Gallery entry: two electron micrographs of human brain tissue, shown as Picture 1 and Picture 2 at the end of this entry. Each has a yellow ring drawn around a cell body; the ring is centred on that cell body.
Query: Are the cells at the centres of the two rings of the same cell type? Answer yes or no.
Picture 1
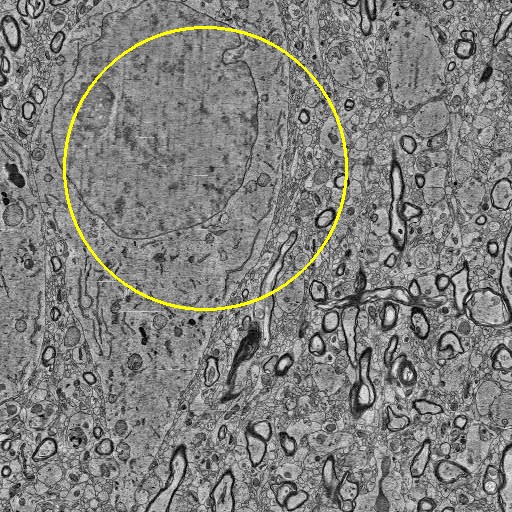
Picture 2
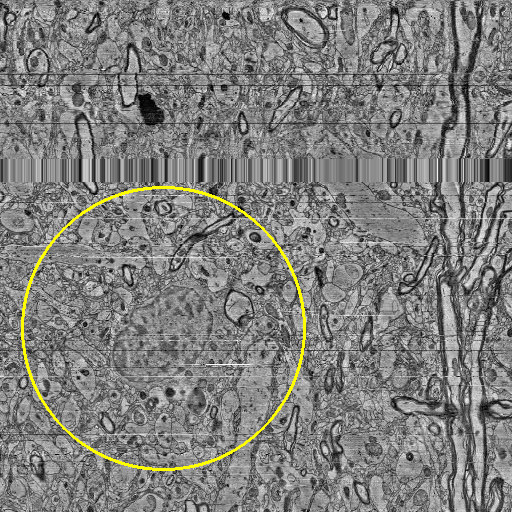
no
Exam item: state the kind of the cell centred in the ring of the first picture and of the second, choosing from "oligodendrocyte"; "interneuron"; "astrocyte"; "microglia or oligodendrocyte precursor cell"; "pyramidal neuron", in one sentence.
The first picture shows a pyramidal neuron at the ring centre and the second shows an oligodendrocyte.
